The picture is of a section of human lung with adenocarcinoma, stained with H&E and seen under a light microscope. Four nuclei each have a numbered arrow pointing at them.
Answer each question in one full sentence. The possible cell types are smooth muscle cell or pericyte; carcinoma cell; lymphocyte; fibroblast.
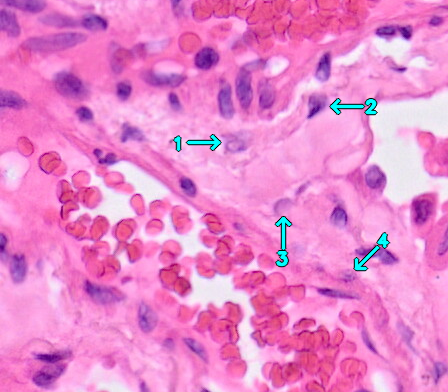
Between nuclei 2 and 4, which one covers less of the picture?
The smaller nucleus is 4, and 2 covers roughly 2 times its area.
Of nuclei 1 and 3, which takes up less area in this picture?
Nucleus 3 is the smaller one; nucleus 1 covers about 2.5 times its area.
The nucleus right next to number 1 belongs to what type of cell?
It is a smooth muscle cell or pericyte whose nucleus is nearest to number 1.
